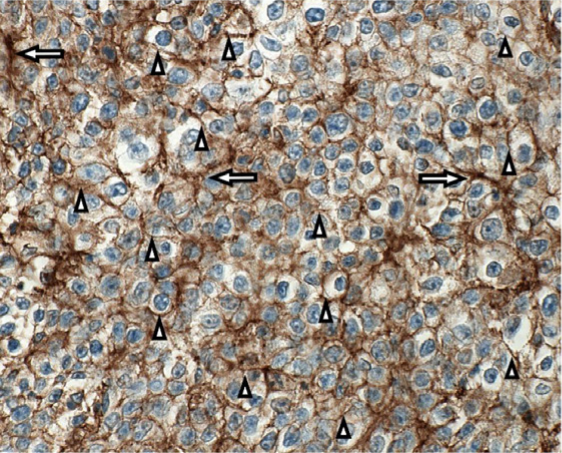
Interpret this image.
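A sheet of closely packed tumour cells with round to oval blue nuclei and pale, clear cytoplasm. Brown staining outlines many cell borders, and darker, thin branching brown streaks run between the cells.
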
